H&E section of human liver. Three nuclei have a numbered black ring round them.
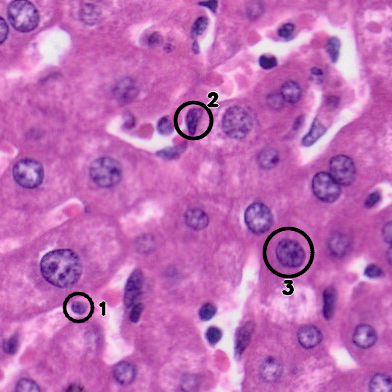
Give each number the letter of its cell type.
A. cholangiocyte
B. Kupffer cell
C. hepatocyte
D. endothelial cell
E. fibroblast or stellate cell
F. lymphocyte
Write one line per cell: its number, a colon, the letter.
1: F
2: E
3: C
